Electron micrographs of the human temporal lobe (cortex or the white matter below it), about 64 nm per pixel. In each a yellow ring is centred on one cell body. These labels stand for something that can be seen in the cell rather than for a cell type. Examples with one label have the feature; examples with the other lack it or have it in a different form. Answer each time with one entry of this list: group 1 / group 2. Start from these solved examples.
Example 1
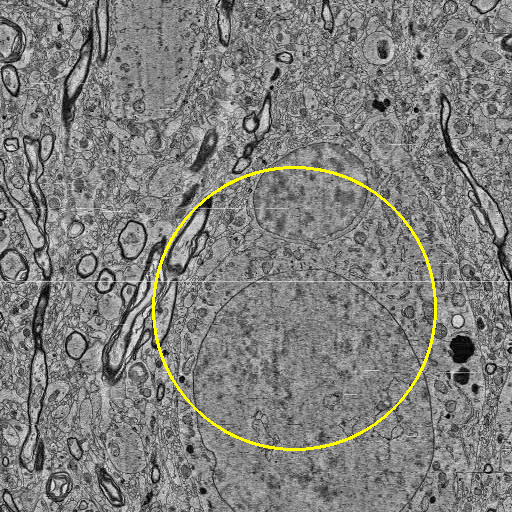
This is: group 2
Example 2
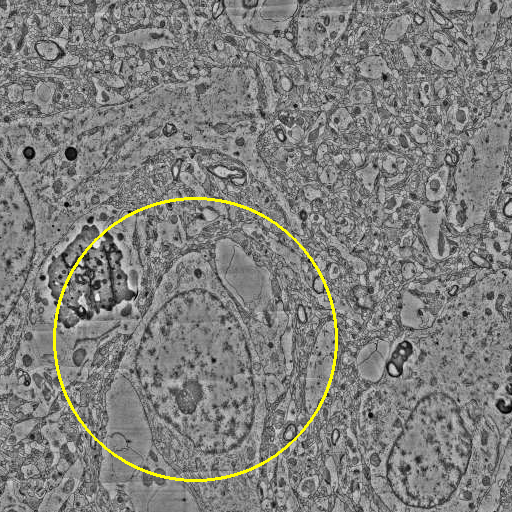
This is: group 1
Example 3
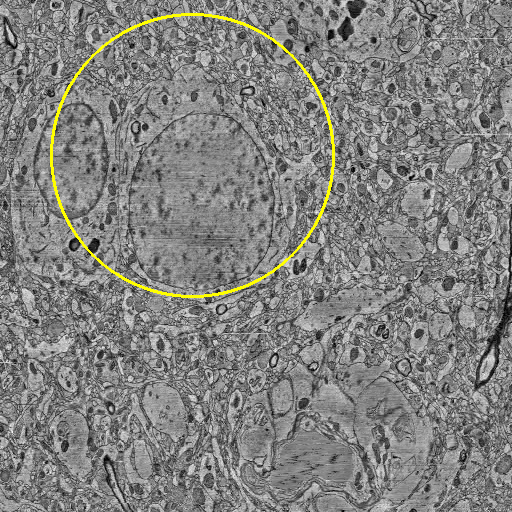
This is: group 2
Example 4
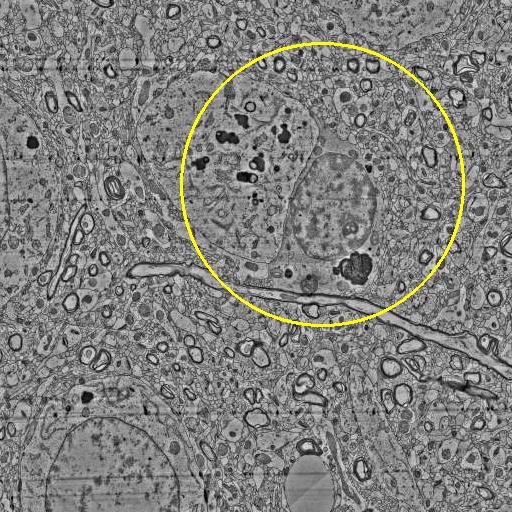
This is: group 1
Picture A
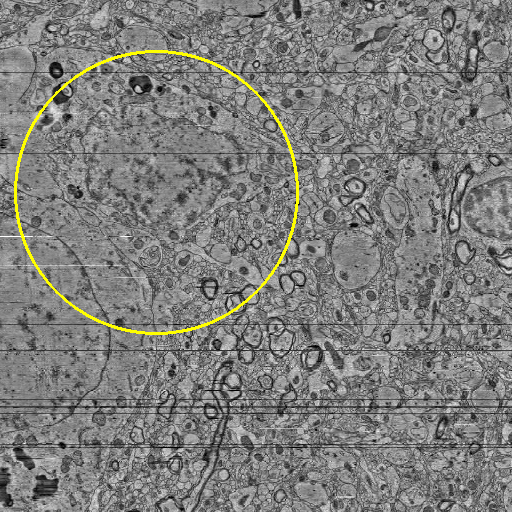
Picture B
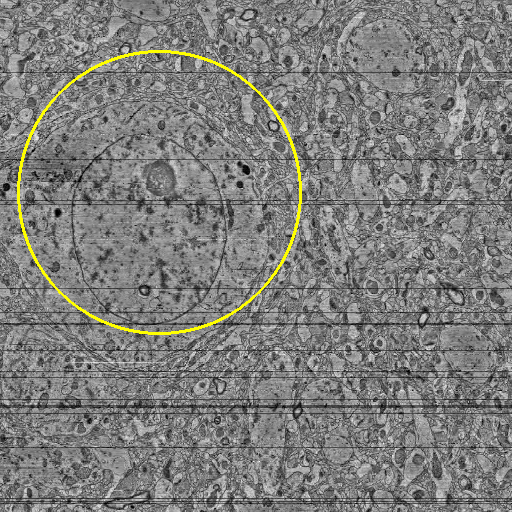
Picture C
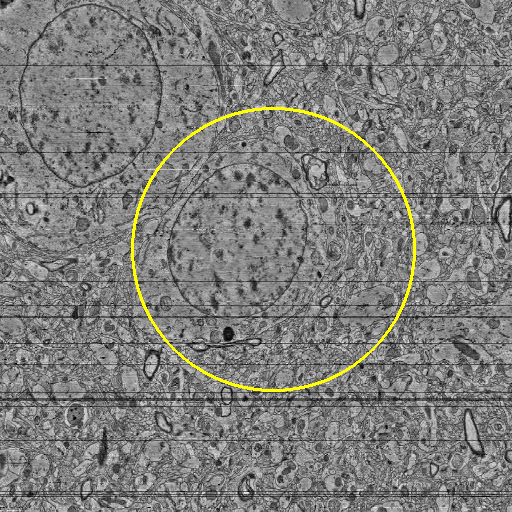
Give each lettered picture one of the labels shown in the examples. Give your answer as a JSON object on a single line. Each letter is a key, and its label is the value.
{"A": "group 2", "B": "group 1", "C": "group 2"}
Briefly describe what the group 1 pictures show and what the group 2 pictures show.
Seen in group 1: nucleolus seen; seen in group 2: no nucleolus seen.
